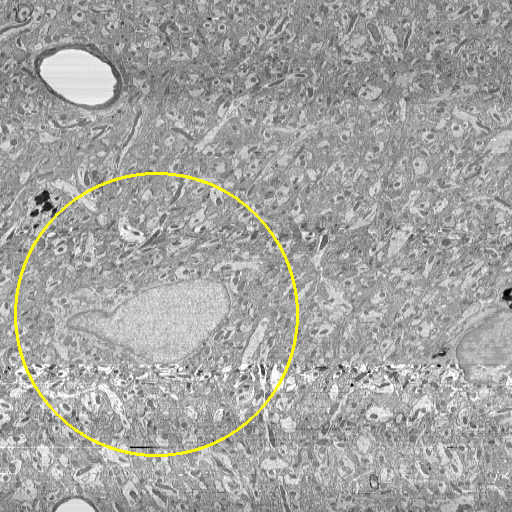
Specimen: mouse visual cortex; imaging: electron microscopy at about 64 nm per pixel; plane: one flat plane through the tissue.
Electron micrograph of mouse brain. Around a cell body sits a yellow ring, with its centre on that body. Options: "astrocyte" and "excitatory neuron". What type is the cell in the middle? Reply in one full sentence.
The cell sitting at the centre of the yellow ring is an astrocyte.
